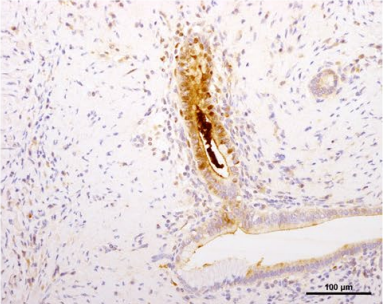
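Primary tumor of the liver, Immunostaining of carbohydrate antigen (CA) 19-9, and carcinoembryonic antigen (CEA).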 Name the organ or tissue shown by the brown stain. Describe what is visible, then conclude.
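Brown stain fills a narrow gland and its lumen. Columnar epithelium lines gland spaces within stroma. So: adenocarcinoma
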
